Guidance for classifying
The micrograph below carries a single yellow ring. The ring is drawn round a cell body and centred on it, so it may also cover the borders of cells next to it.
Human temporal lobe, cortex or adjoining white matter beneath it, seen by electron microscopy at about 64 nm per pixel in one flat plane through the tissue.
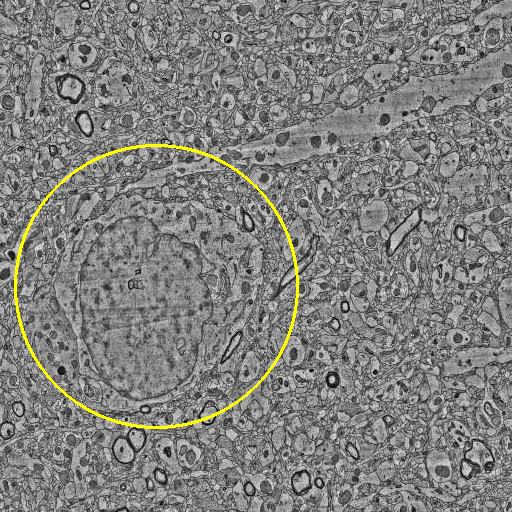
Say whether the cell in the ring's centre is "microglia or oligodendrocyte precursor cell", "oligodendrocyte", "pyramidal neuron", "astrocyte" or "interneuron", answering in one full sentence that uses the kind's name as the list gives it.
Within the yellow ring, an interneuron is the cell whose body sits at the centre.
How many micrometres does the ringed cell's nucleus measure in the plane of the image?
Roughly 12 by 9 micrometres in this plane, for the nucleus of the ringed cell.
